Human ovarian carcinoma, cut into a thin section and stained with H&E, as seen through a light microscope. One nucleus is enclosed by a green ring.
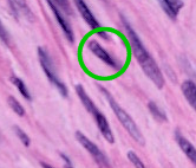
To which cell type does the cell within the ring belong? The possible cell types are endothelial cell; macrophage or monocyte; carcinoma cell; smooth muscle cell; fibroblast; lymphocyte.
smooth muscle cell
